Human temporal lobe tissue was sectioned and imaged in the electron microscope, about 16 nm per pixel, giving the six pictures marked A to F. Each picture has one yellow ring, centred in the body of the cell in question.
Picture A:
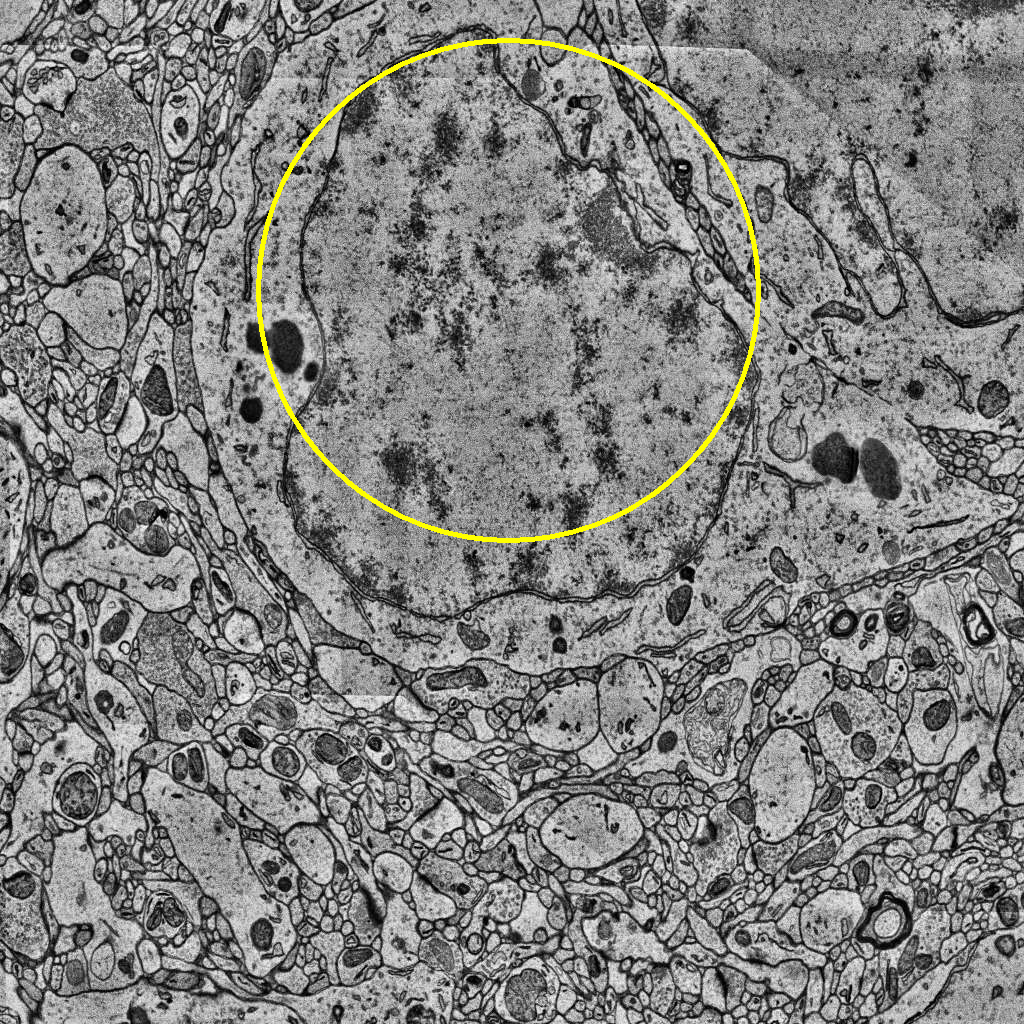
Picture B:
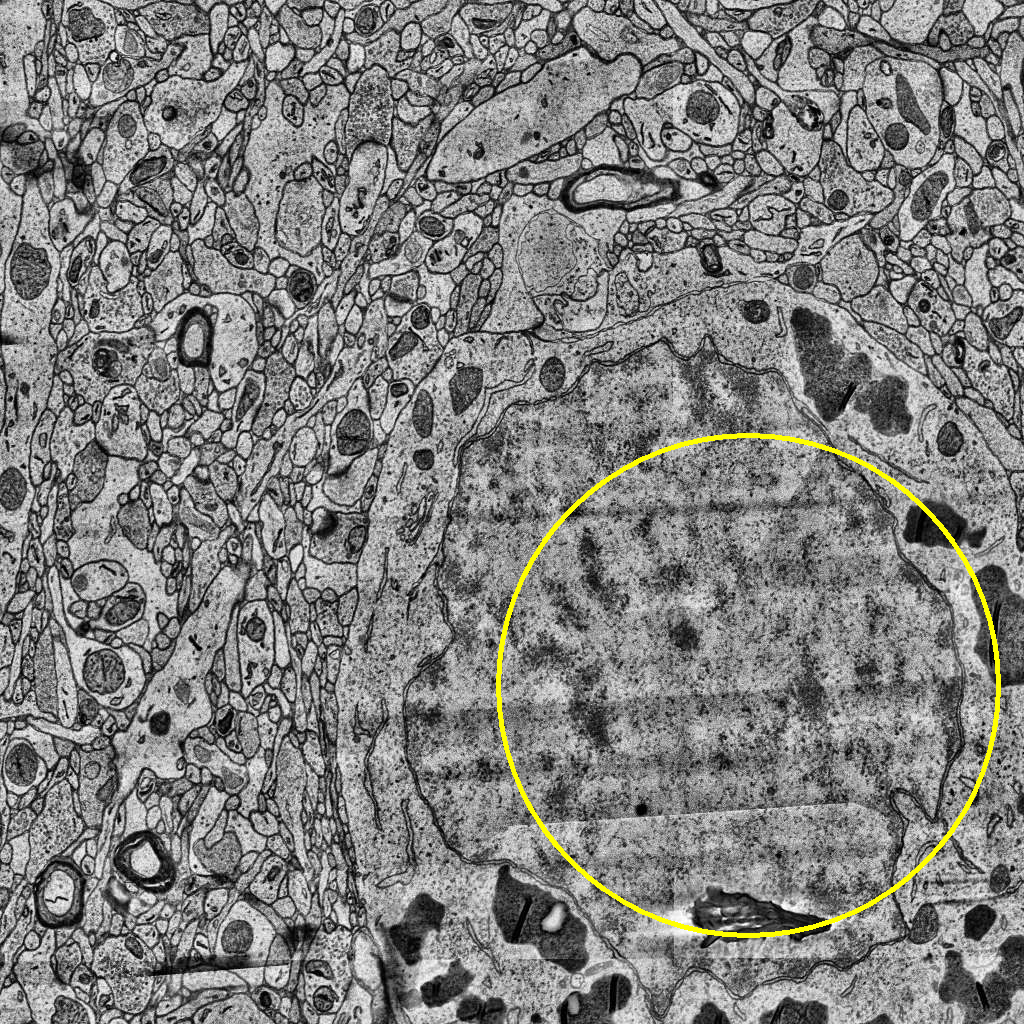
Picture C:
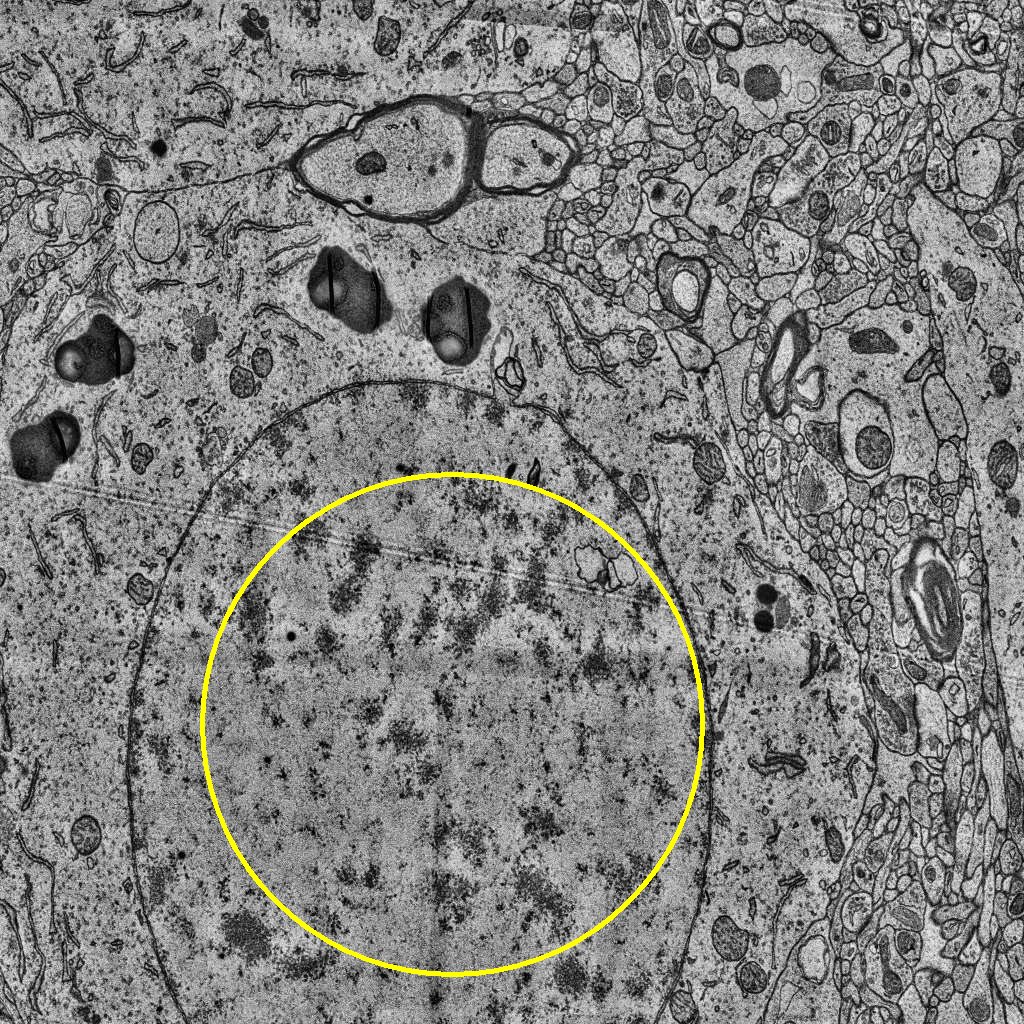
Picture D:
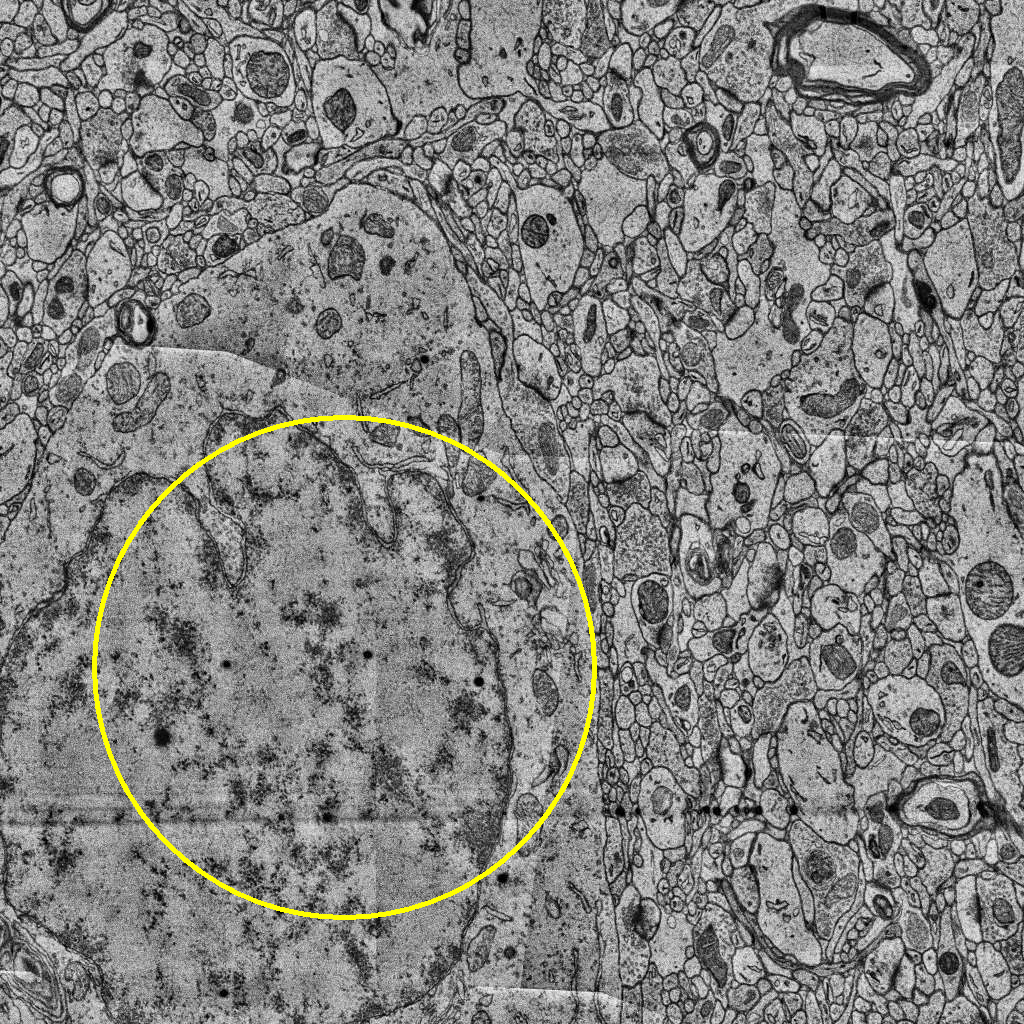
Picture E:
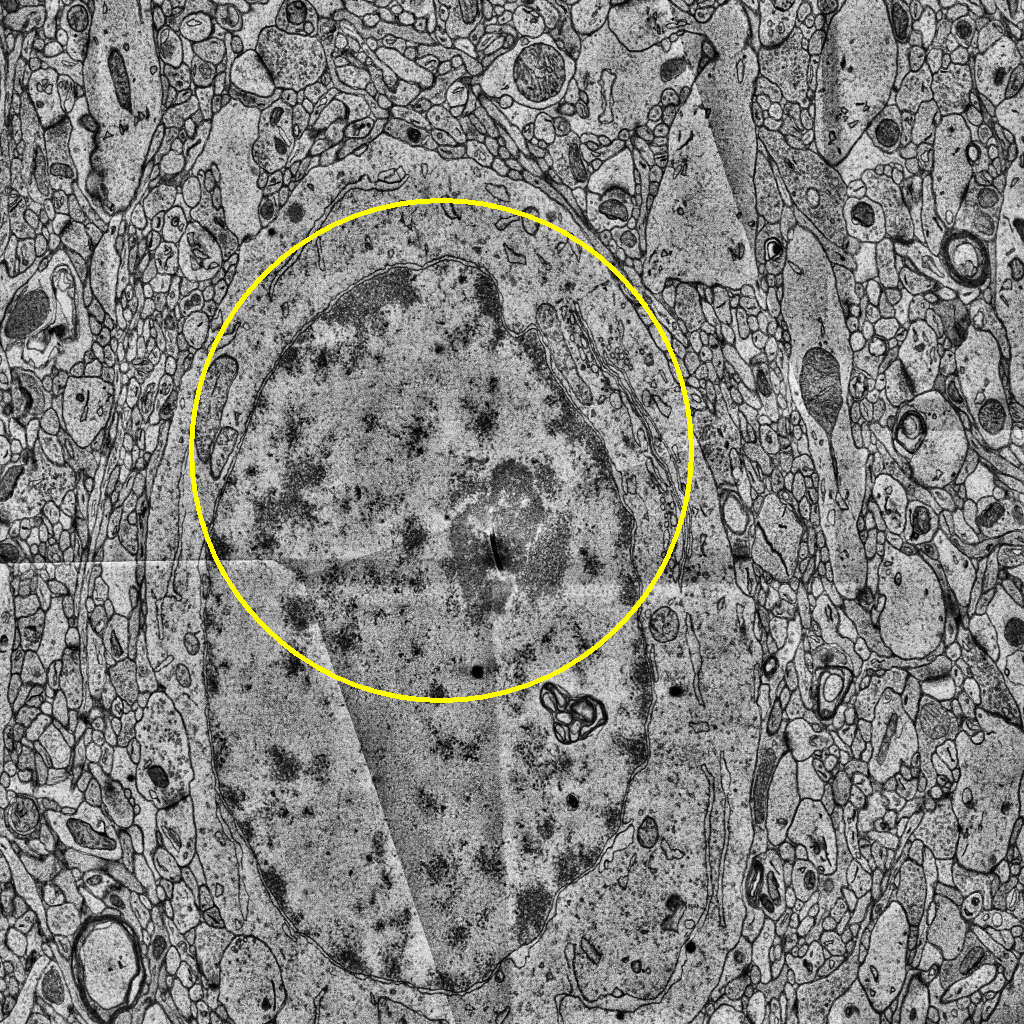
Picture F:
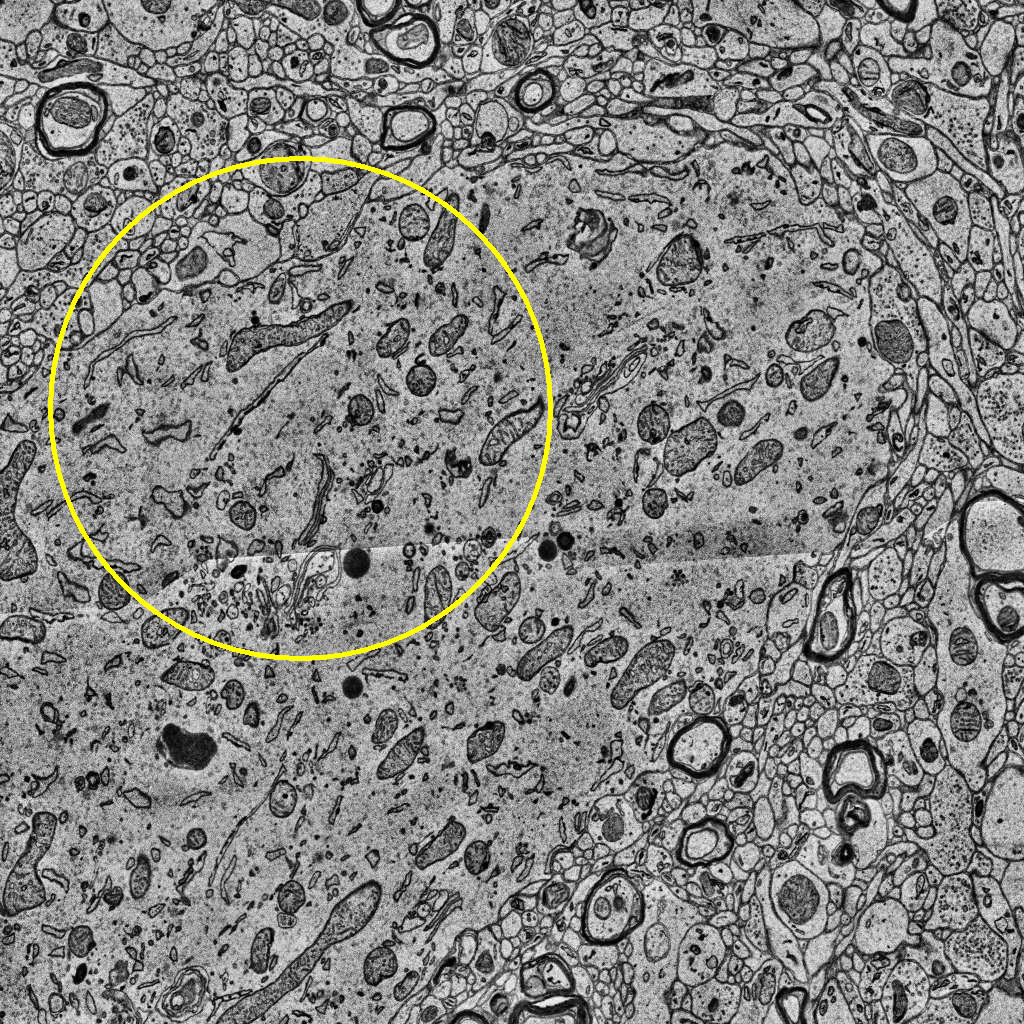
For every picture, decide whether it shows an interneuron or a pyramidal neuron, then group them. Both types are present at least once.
Pictures A, B, D and E show interneurons, and pictures C and F show pyramidal neurons.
